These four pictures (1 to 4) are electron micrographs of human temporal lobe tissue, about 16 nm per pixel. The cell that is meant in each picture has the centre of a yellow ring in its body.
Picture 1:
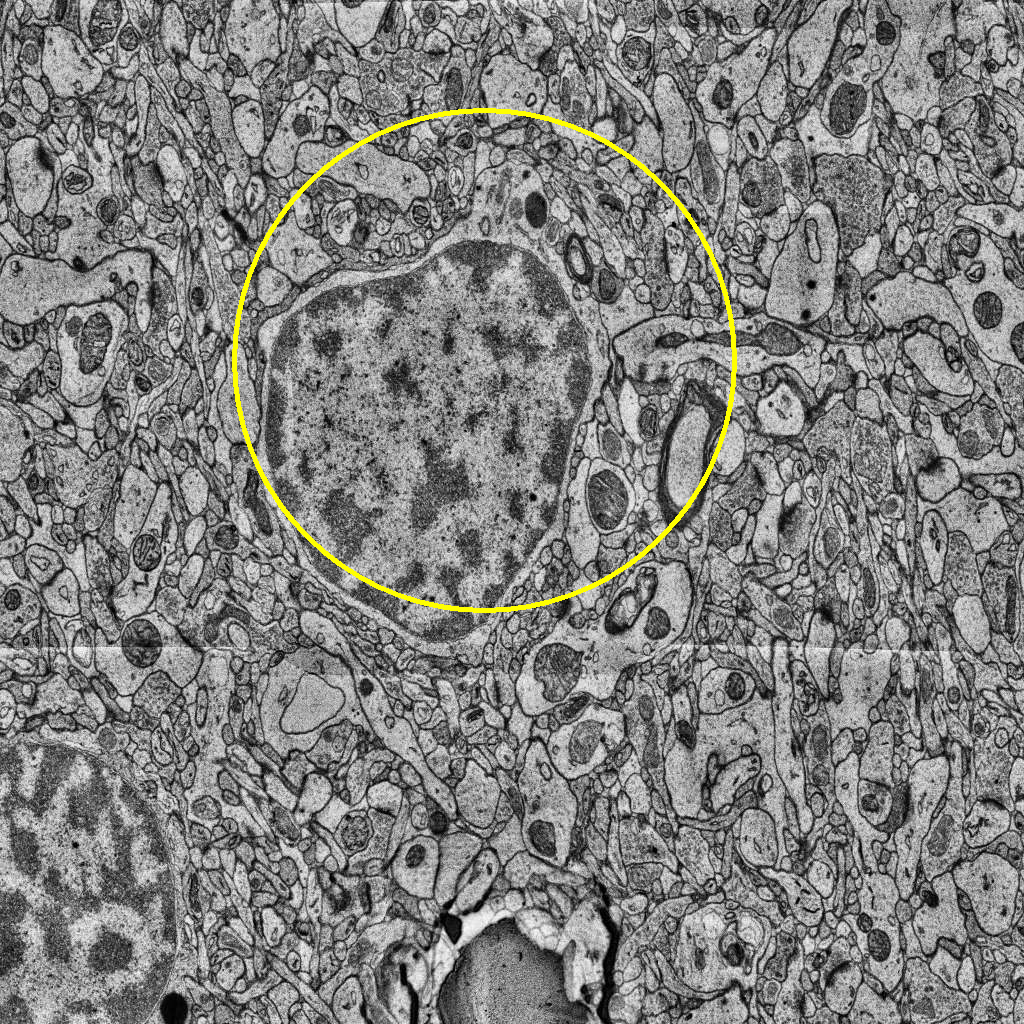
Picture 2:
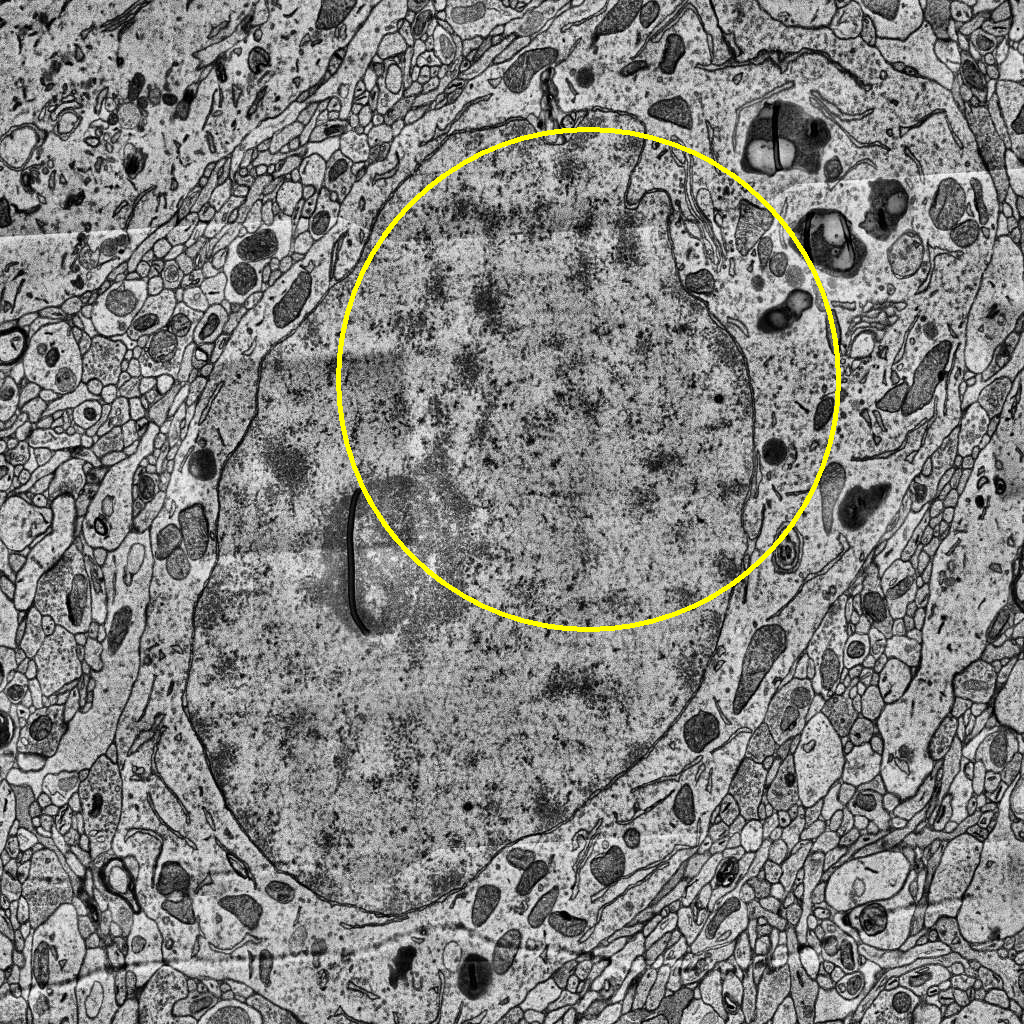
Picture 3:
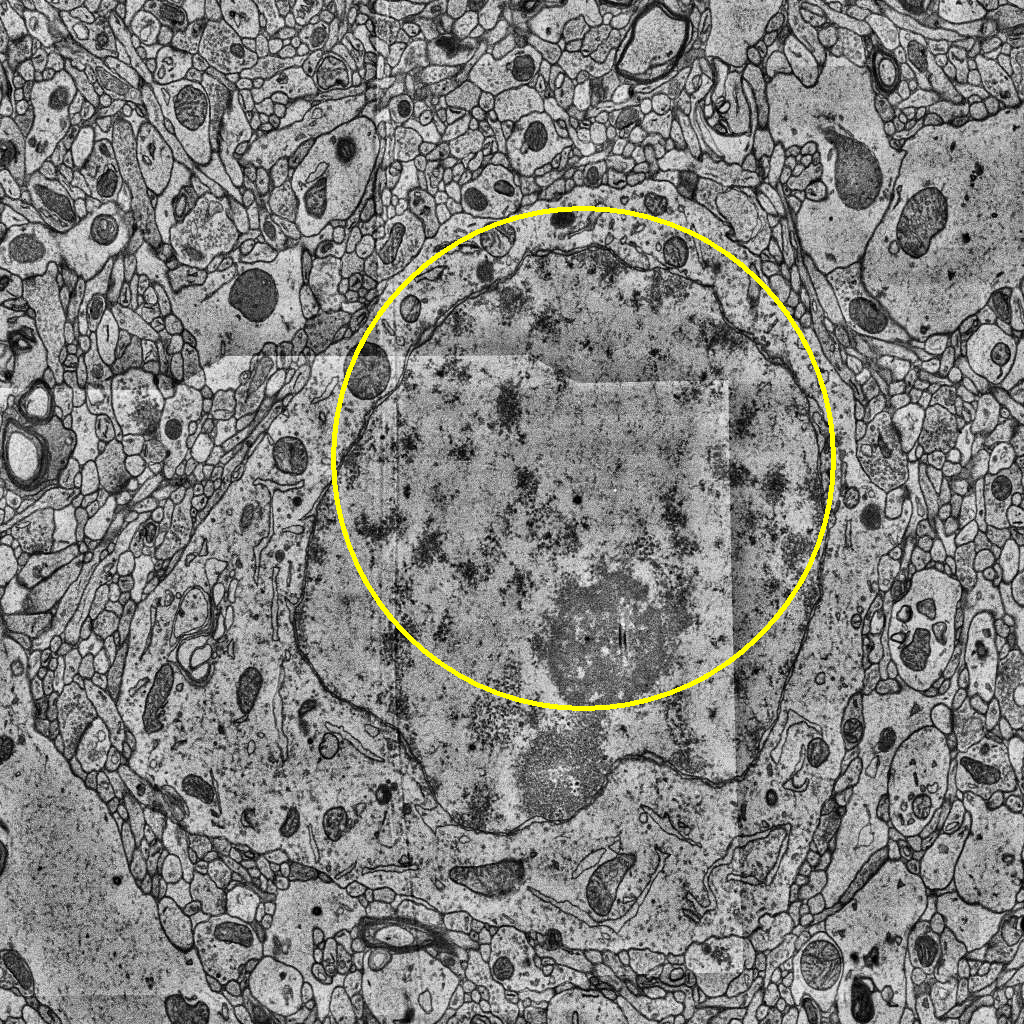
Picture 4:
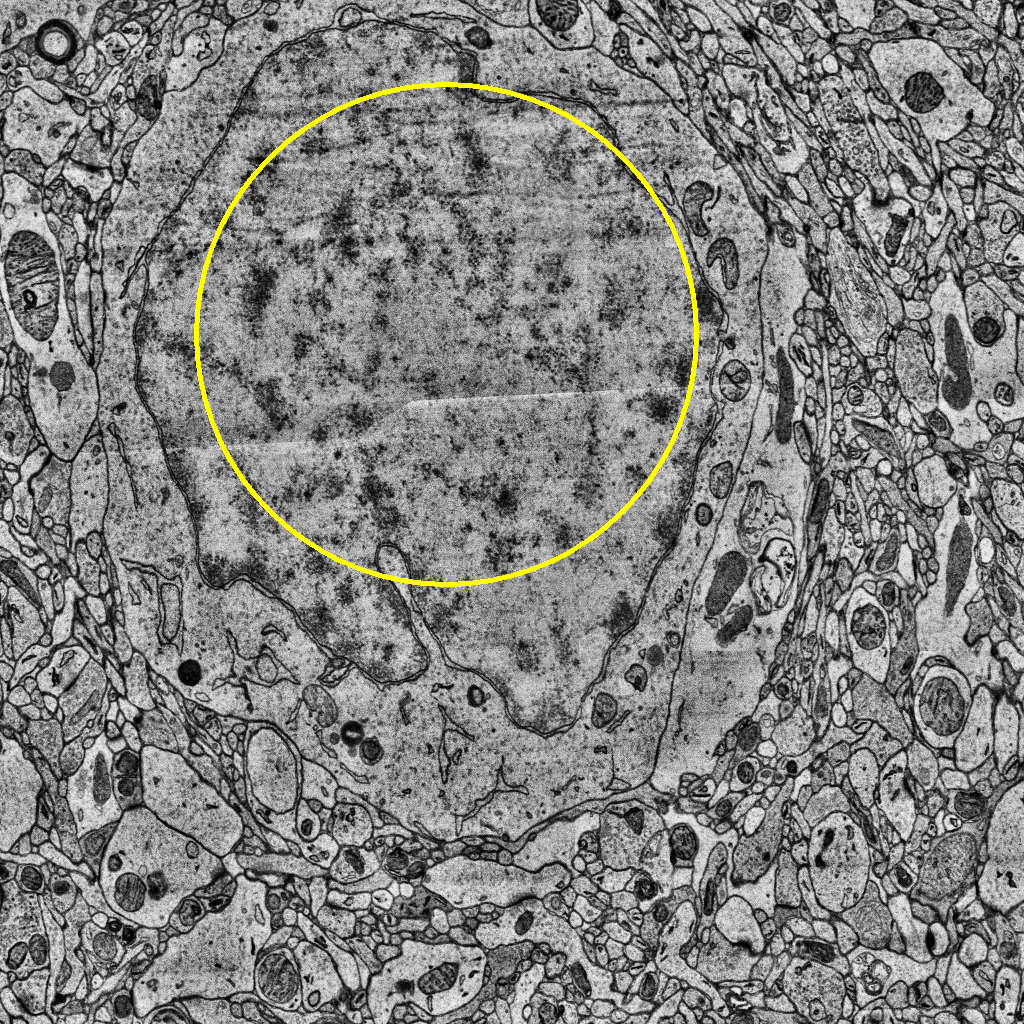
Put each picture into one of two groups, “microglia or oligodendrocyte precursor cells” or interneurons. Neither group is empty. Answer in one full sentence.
Picture 1 shows a “microglia or oligodendrocyte precursor cell”, while pictures 2, 3 and 4 show interneurons.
